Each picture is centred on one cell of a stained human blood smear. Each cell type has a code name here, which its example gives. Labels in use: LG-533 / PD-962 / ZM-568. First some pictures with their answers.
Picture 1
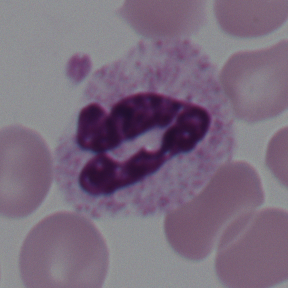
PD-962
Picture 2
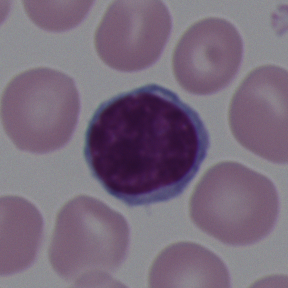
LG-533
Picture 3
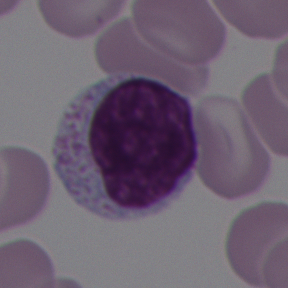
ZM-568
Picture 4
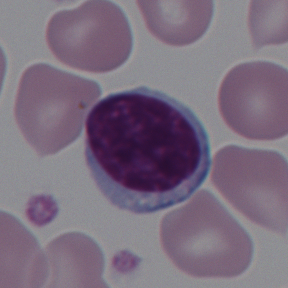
LG-533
